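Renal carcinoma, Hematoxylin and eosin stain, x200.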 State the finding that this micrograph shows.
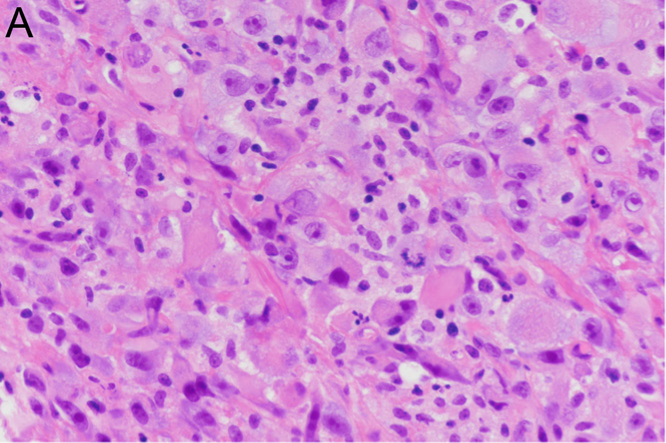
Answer: Rhabdoid aspect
